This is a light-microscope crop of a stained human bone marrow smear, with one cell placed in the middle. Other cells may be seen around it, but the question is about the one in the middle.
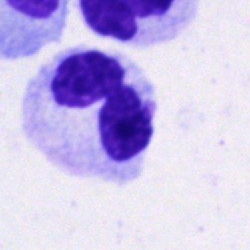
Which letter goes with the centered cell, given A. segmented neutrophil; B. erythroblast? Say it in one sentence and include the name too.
The middle cell of the crop is a segmented neutrophil; accordingly, option A is correct.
